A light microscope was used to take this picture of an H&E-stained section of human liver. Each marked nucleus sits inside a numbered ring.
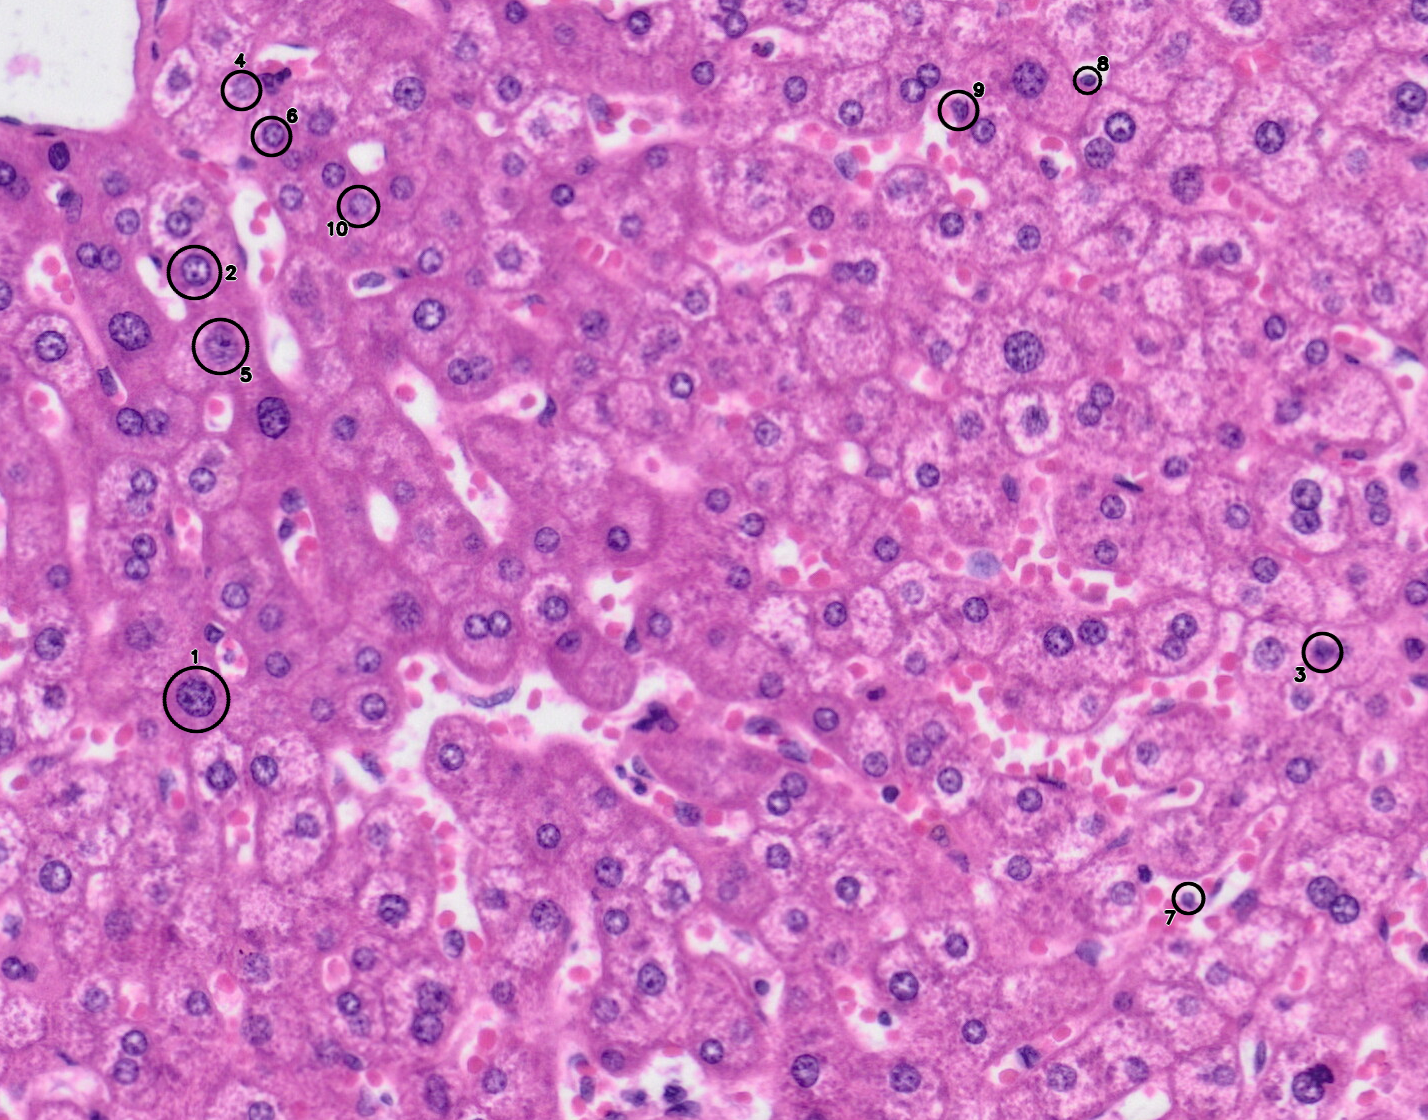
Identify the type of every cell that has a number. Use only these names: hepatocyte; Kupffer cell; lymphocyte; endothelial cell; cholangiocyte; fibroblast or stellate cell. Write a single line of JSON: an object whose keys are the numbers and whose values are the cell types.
{"1": "hepatocyte", "2": "hepatocyte", "3": "endothelial cell", "4": "hepatocyte", "5": "hepatocyte", "6": "hepatocyte", "7": "lymphocyte", "8": "lymphocyte", "9": "Kupffer cell", "10": "hepatocyte"}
